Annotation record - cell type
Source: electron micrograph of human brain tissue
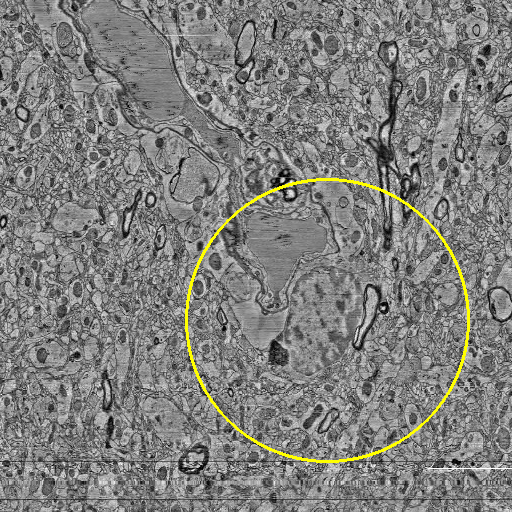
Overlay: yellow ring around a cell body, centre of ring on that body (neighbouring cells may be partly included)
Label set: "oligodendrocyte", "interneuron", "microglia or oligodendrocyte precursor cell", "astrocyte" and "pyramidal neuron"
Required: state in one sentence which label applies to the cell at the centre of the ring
This cell should be labelled as an oligodendrocyte.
